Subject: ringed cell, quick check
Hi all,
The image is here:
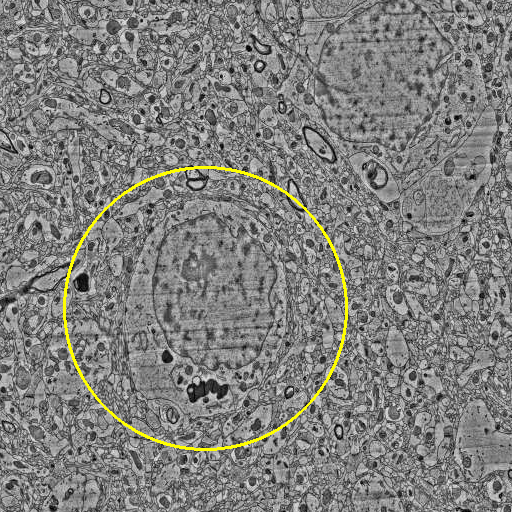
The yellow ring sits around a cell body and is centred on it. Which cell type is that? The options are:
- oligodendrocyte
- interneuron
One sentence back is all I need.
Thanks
That ringed cell is an interneuron.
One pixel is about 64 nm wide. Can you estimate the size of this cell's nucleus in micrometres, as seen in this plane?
In this plane the nucleus is about 10 micrometres by 8.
